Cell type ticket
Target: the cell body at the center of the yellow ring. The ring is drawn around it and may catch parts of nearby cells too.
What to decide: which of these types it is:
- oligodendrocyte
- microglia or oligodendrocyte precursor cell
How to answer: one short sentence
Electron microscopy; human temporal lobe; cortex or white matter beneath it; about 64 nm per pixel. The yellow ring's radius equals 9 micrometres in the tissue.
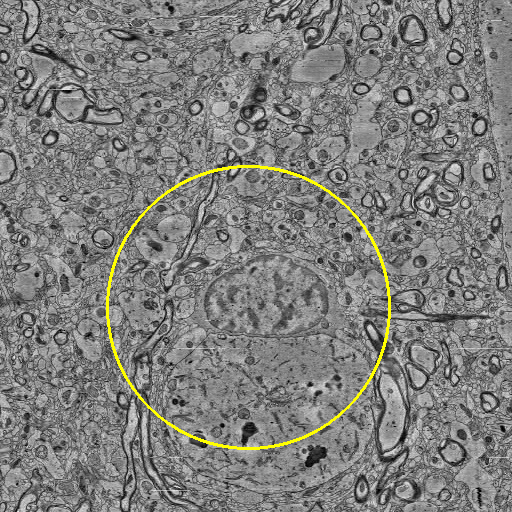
The cell at the center of the ring is an oligodendrocyte.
